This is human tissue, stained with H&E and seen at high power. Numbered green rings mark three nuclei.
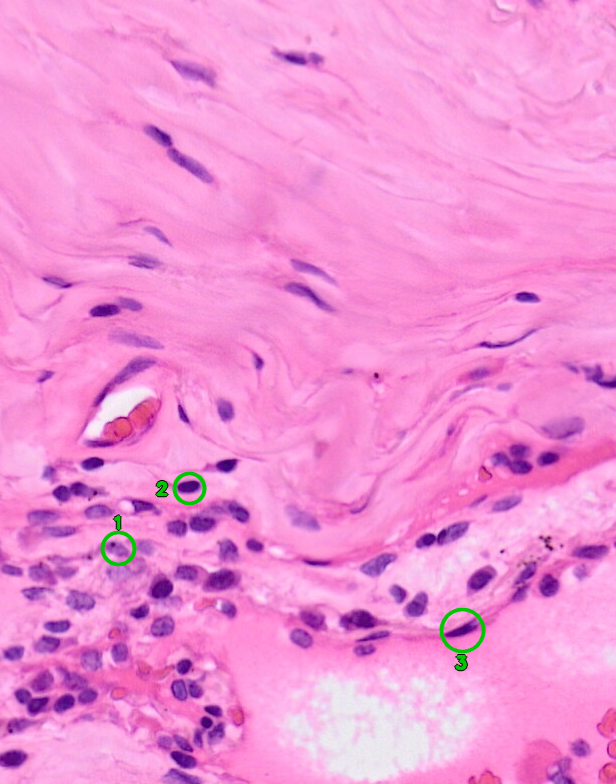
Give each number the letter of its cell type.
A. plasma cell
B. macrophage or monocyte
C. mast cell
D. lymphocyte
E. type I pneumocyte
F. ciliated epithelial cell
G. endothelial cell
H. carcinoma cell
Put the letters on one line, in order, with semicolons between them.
A; D; G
